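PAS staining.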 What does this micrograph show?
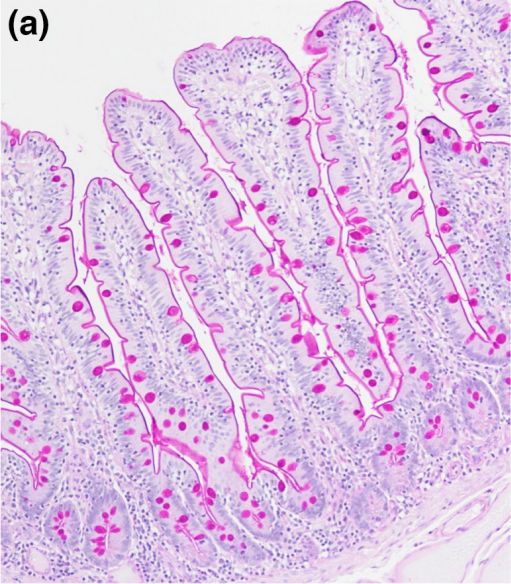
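The section shows tall finger-like villi and, below them, crypts, lined by a single layer of columnar epithelium in which goblet cells stand out as rounded, magenta-filled cups. The goblet cells are scattered singly along the villi and become crowded in the crypts. The surface of the epithelium is edged by a thin magenta line, and the cores of the villi hold loosely arranged cells with purple nuclei.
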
